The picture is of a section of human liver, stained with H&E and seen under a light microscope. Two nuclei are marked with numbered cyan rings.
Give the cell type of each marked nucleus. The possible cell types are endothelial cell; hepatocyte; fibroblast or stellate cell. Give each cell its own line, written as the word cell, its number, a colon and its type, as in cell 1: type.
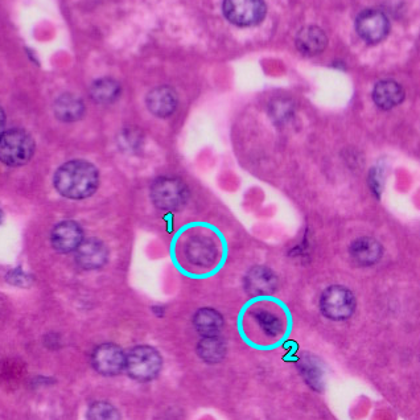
cell 1: hepatocyte
cell 2: fibroblast or stellate cell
